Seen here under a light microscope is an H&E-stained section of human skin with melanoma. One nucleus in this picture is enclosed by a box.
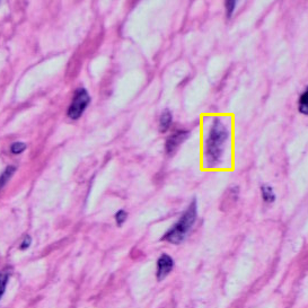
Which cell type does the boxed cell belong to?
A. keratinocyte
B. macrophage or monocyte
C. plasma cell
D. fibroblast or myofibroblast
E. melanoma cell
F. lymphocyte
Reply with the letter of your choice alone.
D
